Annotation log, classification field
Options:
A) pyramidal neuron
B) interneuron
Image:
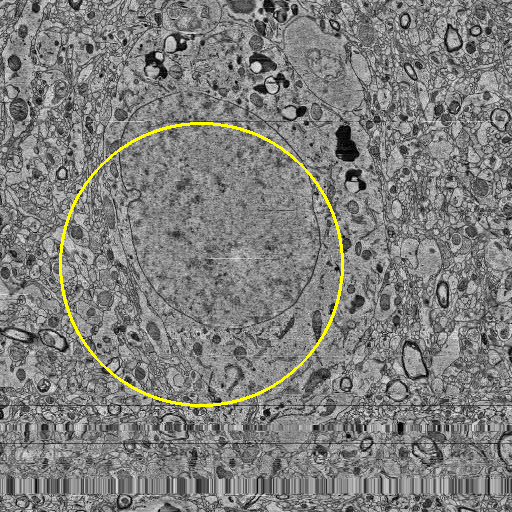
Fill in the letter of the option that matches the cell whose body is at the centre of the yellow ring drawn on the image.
A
